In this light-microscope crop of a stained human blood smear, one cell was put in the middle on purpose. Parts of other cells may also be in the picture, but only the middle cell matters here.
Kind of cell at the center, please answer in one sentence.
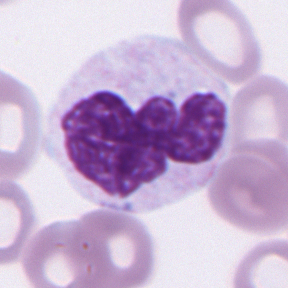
The middle of this crop is occupied by a segmented neutrophil.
